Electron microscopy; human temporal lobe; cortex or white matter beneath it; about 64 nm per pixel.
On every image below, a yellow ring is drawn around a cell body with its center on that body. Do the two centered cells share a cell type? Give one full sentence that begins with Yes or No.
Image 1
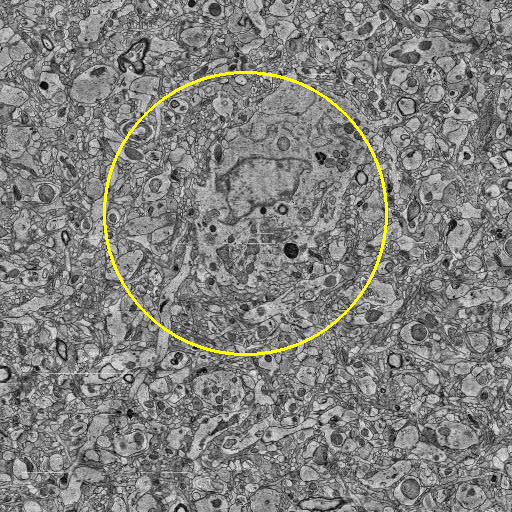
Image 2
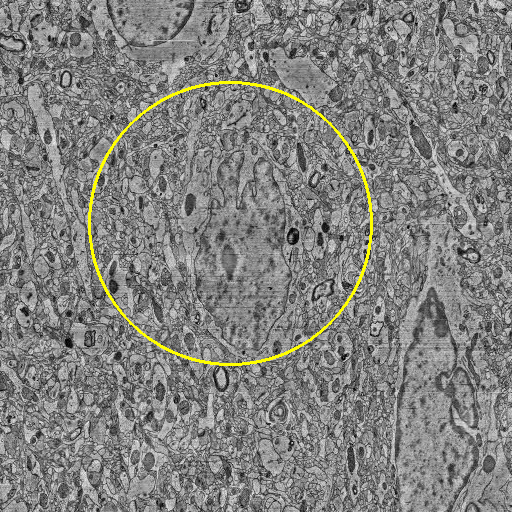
Yes, the centered cells in the two images are of a single cell type.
